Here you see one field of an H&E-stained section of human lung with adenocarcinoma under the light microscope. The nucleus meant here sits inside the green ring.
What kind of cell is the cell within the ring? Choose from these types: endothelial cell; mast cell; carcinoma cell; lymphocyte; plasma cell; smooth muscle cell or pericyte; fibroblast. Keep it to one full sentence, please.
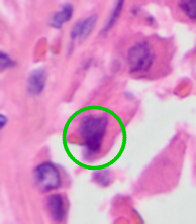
In short, the cell within the ring on this section is a carcinoma cell.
